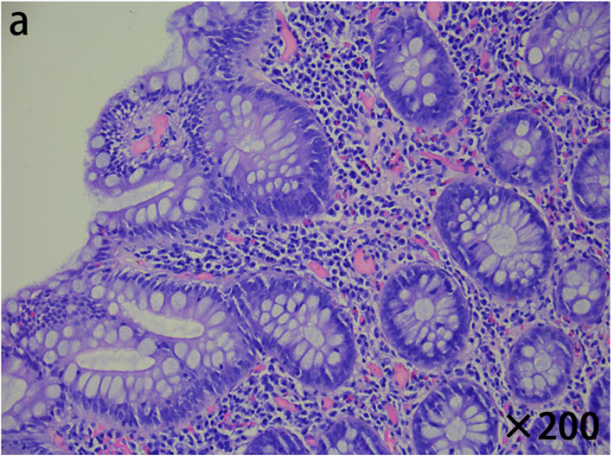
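Round and oval crypts lined by tall columnar epithelium, full of pale goblet cells, lie in a stroma crowded with small round dark-nucleated cells and pink-red small vessels. The dense cell infiltrate between the crypts marks inflammation of the mucosa.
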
